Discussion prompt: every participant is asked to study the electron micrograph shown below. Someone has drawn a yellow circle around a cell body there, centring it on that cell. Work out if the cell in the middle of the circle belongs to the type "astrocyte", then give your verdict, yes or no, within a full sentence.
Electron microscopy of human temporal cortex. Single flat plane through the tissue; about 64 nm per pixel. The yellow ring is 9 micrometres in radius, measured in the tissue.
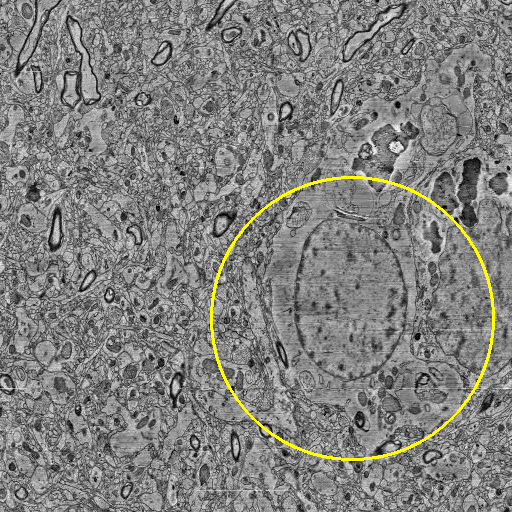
Yes, my verdict is that the cell in the circle's centre is of that type.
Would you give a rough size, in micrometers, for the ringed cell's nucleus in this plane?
About 11 by 7 micrometres; in this plane the nucleus is clearly longer than it is wide.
